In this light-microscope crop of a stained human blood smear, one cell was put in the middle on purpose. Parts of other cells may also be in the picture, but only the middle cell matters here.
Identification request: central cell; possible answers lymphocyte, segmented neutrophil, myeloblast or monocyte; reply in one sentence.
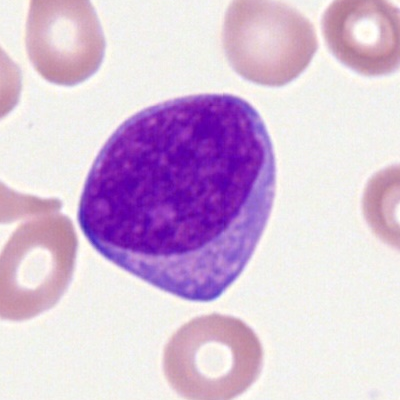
In the center of this field lies a myeloblast.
